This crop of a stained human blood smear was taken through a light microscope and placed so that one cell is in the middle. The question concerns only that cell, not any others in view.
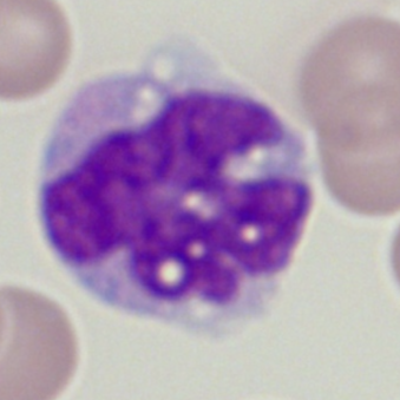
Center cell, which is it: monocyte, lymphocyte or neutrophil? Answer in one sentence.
The identification for the central cell is a monocyte.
